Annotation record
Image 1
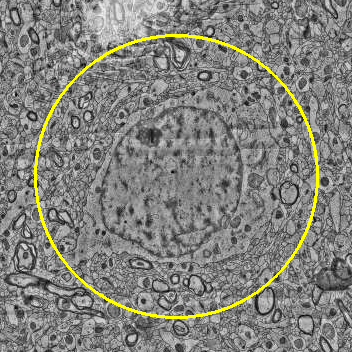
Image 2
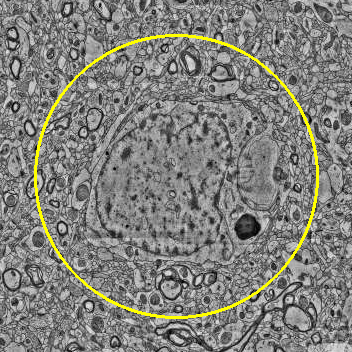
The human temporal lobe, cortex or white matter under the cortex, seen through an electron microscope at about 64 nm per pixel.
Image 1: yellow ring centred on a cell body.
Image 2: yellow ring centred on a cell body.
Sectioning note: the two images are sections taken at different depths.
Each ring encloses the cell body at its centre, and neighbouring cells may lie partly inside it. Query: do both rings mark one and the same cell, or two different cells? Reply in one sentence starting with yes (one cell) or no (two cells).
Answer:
Yes, the second ring marks the same cell as the first.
